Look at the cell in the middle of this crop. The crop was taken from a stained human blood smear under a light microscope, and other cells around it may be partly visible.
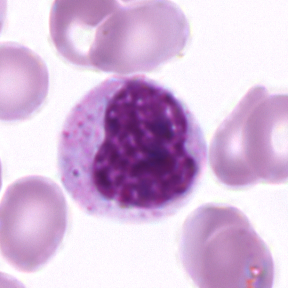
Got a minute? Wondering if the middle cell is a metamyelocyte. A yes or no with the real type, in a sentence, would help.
Yes, the cell lying in the centre of the crop is identified as a metamyelocyte.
